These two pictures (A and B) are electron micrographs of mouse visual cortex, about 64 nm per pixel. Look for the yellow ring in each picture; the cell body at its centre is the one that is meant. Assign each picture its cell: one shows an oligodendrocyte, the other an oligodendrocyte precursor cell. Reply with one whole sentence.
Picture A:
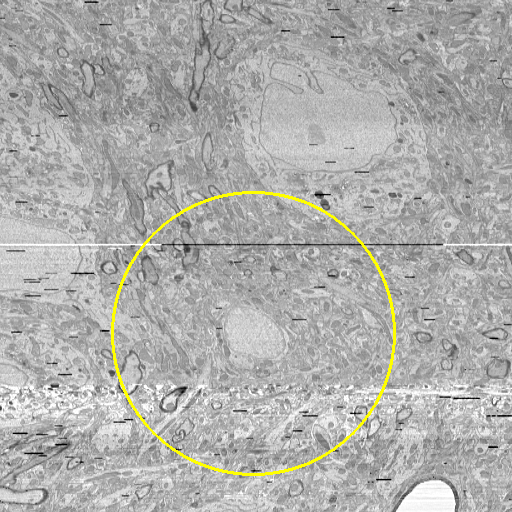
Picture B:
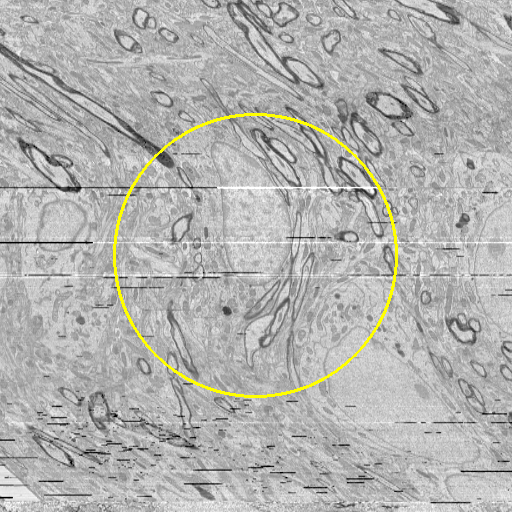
In picture A the cell is an oligodendrocyte precursor cell; in picture B, an oligodendrocyte.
